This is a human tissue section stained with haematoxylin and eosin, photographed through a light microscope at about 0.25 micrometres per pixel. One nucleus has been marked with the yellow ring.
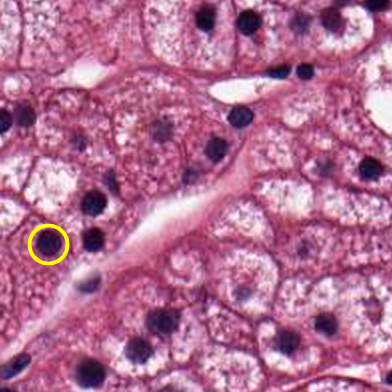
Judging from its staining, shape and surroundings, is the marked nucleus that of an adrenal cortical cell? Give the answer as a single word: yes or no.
yes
